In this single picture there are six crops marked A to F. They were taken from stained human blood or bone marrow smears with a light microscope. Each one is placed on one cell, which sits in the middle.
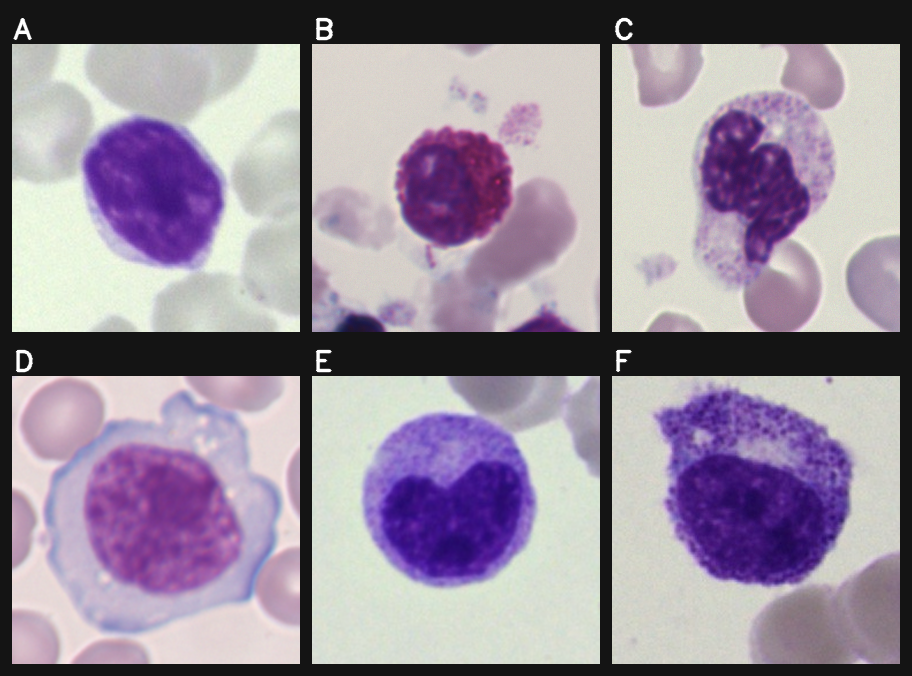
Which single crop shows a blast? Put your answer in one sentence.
Only in crop D is a blast shown.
